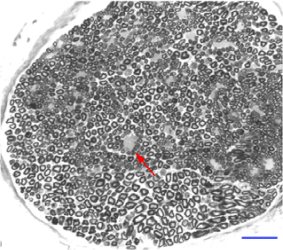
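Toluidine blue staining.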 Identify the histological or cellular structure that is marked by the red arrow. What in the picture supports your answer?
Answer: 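The arrow points to a pale grey patch among the fibres. The patch has none of the dark rings that surround neighbouring axons.
Hence: unmyelinated axon bundles.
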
